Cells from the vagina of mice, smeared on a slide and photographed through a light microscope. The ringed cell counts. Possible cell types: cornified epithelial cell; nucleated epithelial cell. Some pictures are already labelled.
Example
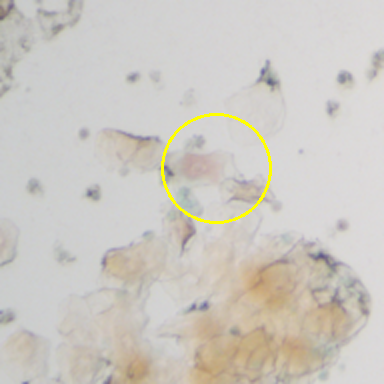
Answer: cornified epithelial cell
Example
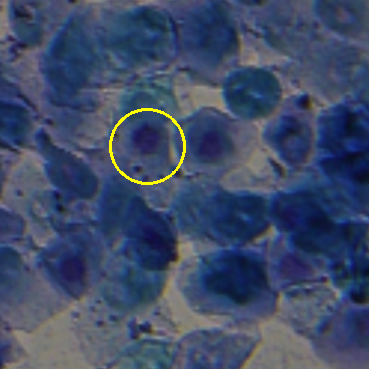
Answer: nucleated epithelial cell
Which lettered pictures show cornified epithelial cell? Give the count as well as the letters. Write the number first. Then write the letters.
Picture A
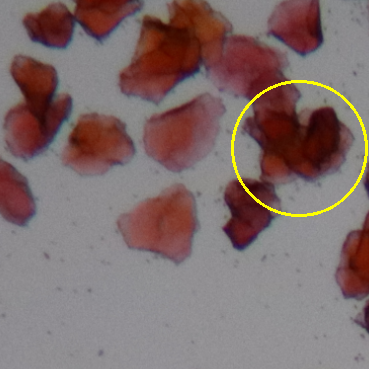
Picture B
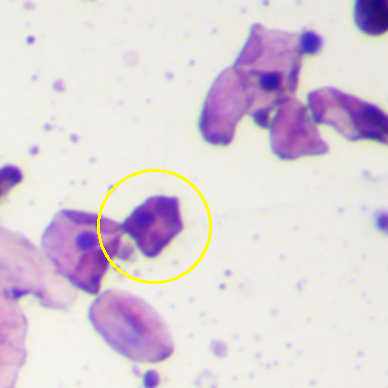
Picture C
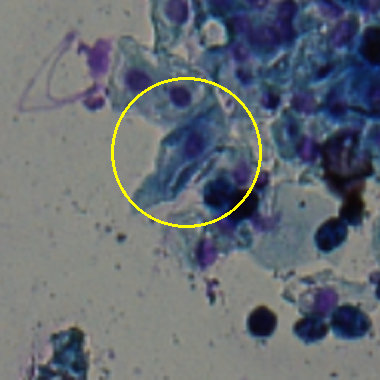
Count: 1 (A)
